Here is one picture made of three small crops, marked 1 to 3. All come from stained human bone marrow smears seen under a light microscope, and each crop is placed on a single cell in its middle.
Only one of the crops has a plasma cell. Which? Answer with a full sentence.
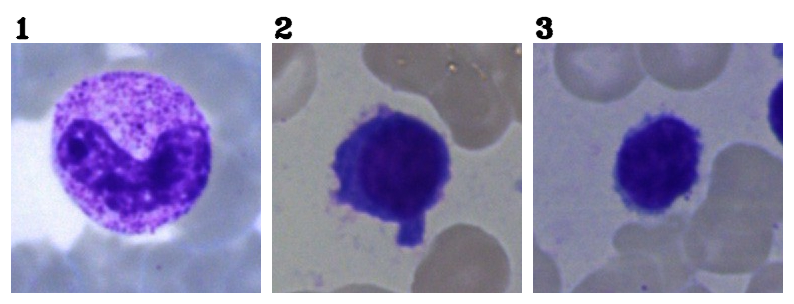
Look at crop 2; that is the one with a plasma cell in its center.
